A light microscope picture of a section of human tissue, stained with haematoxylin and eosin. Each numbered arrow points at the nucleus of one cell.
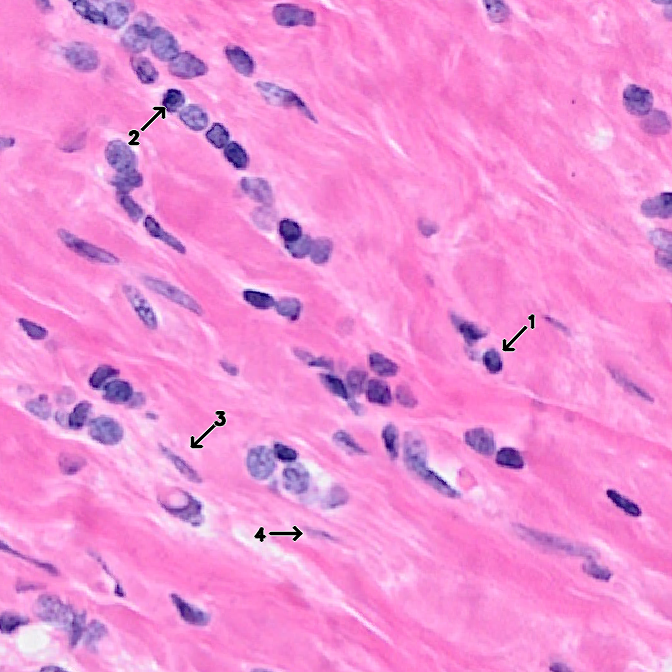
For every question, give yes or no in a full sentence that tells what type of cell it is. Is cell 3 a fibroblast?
Yes, number 3 corresponds to a fibroblast.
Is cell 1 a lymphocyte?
Yes, the cell at marker 1 is a lymphocyte.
